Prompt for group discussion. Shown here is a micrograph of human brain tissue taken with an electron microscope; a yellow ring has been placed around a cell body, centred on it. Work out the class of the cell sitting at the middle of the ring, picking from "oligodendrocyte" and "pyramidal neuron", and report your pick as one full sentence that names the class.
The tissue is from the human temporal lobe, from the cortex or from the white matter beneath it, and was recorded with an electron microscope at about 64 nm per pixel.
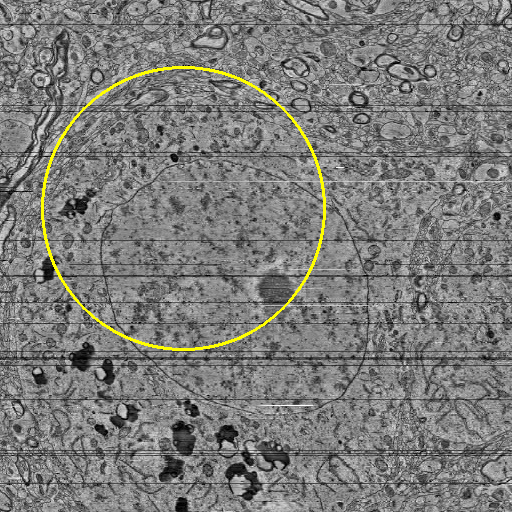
The cell sitting at the middle of the yellow ring is a pyramidal neuron.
